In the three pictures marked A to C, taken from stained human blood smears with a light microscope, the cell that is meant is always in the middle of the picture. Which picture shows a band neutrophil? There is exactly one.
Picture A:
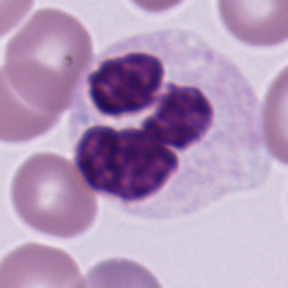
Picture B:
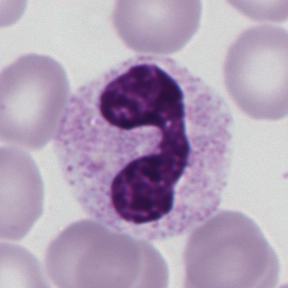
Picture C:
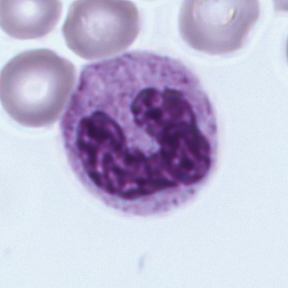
C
